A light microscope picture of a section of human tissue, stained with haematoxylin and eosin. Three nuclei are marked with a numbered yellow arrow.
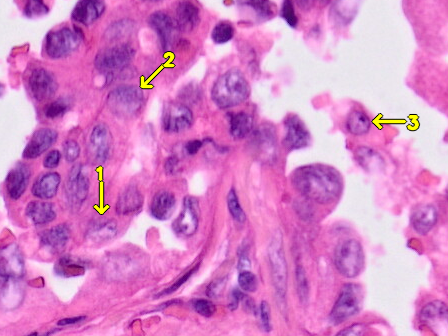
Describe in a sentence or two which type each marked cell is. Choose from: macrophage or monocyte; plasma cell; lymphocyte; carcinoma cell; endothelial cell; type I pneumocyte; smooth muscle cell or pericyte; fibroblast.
Cell 1 is a carcinoma cell, cell 2 is a carcinoma cell and cell 3 is a macrophage or monocyte.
